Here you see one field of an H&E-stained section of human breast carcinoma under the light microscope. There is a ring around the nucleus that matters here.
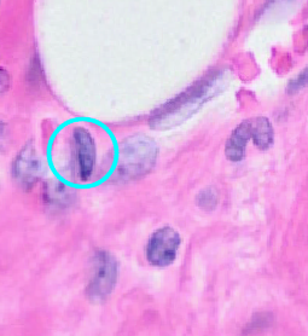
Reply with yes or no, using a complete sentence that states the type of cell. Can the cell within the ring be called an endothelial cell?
Yes, the identification stands: the cell within the ring is an endothelial cell.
